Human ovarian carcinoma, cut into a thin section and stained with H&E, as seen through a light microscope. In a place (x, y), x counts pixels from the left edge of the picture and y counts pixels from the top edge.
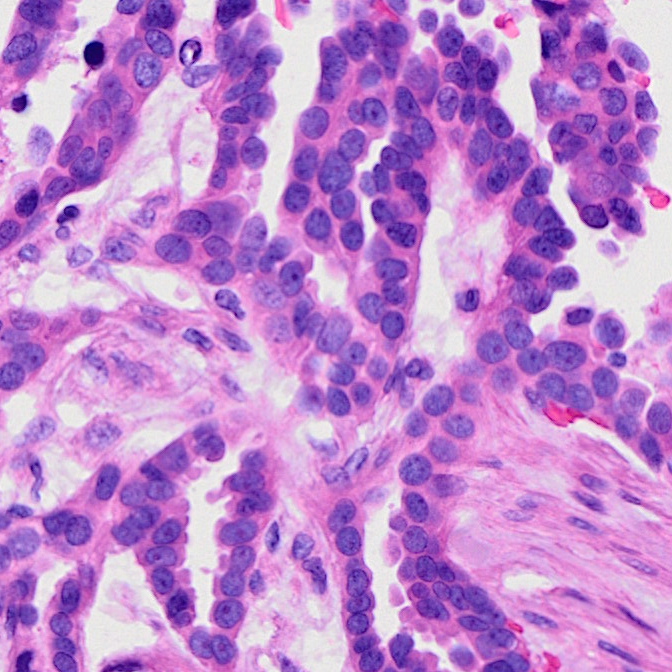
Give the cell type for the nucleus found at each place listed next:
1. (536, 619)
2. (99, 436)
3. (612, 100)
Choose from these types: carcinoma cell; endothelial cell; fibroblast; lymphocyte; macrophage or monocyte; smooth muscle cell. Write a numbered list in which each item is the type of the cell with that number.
1. fibroblast
2. fibroblast
3. carcinoma cell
